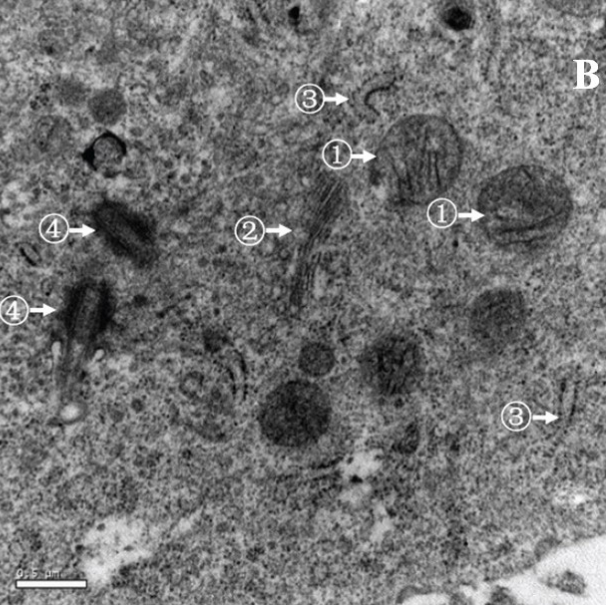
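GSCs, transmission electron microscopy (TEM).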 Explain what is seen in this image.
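This is cytoplasm at high magnification, with granular grey ground substance and several organelles. Round to oval bodies with folded internal membranes are mitochondria, an elongated stack of parallel flattened membranes is the Golgi apparatus, and short curved dark membrane profiles are rough endoplasmic reticulum. Two small dense cylindrical bodies with fine parallel striations lie close together and are a pair of centrioles.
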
